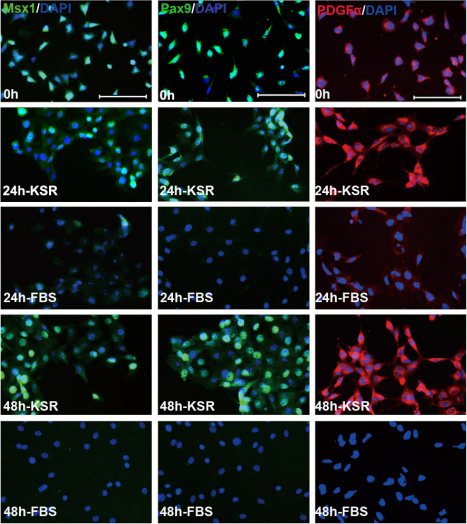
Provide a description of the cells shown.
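These are cultured cells spread flat on a dish, seen in a grid of small fluorescence images, each with oval blue nuclei scattered across the field. In the first two columns, the green stain lies over the nuclei, so in many cells the nucleus looks green or blue-green. In the third column, the red stain fills the cell bodies around the blue nuclei and outlines cells with spindle or star-like shapes and short processes. In some rows the cells are crowded together and strongly coloured. In other rows they are sparser, and mainly only blue nuclei stand out, with little green or red around them.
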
